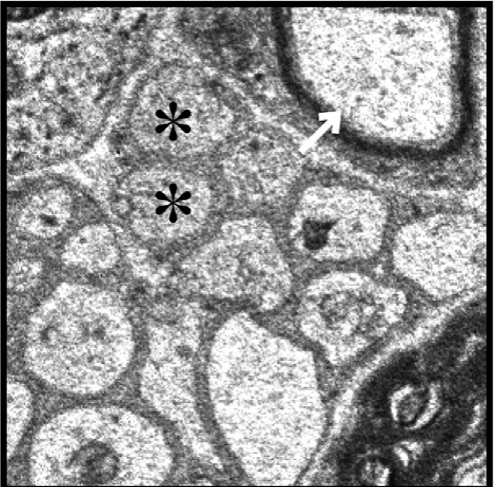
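This electron micrograph shows a cross section of a Remak bundle with numerous small unmyelinated axons packed side by side. The axons are pale, rounded profiles of differing sizes, some with small dark inclusions inside. Thin gray bands of denser cytoplasm run between the axons and outline each one. At the upper right a large pale axon is bounded by a thick dark myelin sheath, and a further cut of dark, layered myelin lies at the lower right corner. The small axons carry no such dark sheath.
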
